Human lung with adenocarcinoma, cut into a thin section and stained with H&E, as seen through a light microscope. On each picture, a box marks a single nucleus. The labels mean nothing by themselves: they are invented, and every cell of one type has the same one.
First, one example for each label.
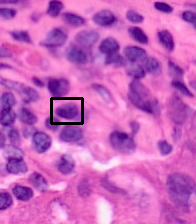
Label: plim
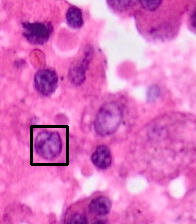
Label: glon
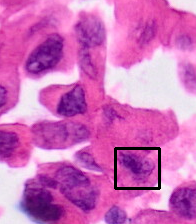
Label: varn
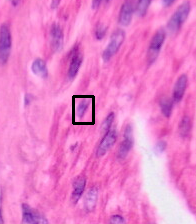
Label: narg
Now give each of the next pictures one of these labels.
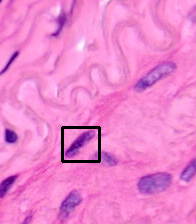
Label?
narg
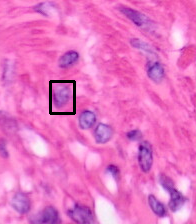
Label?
narg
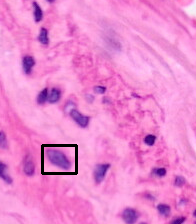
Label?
narg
